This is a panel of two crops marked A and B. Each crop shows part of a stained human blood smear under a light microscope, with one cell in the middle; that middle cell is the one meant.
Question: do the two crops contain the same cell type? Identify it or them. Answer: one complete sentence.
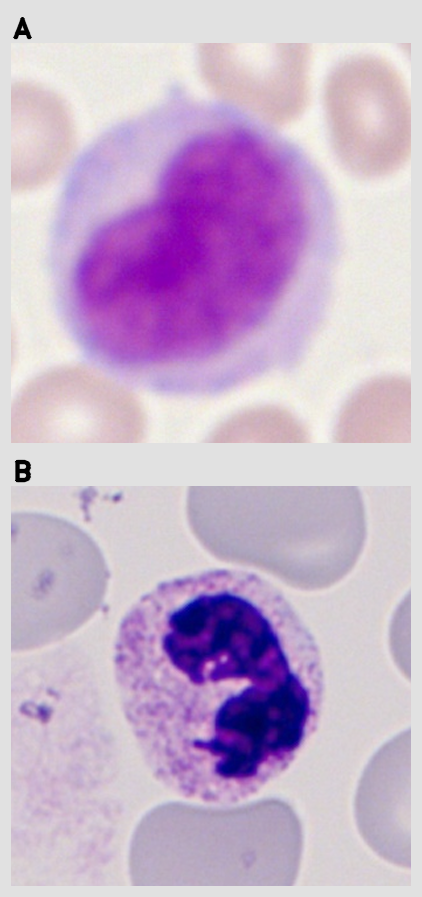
No, crop A represents a monocyte, and crop B represents a segmented neutrophil.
